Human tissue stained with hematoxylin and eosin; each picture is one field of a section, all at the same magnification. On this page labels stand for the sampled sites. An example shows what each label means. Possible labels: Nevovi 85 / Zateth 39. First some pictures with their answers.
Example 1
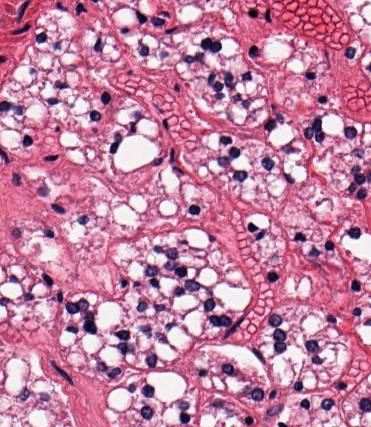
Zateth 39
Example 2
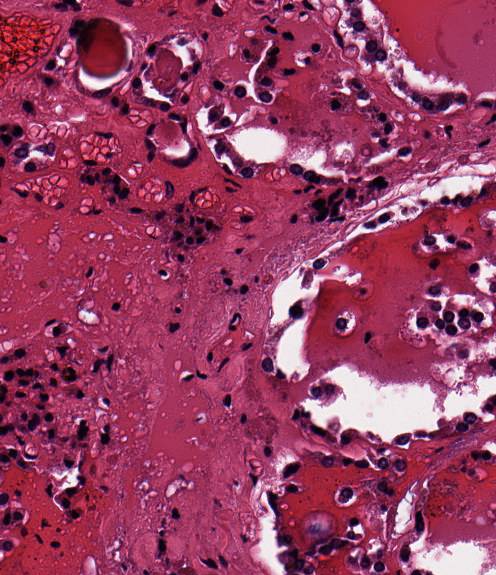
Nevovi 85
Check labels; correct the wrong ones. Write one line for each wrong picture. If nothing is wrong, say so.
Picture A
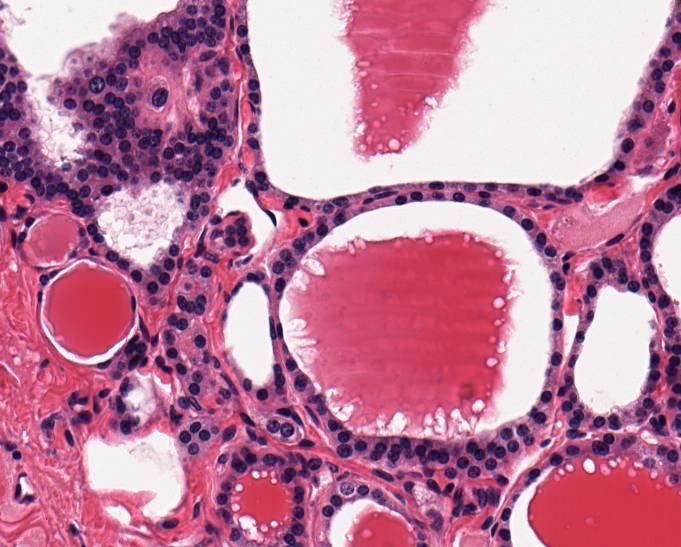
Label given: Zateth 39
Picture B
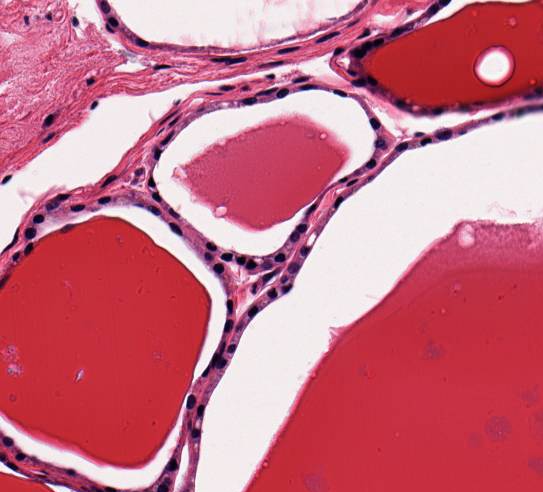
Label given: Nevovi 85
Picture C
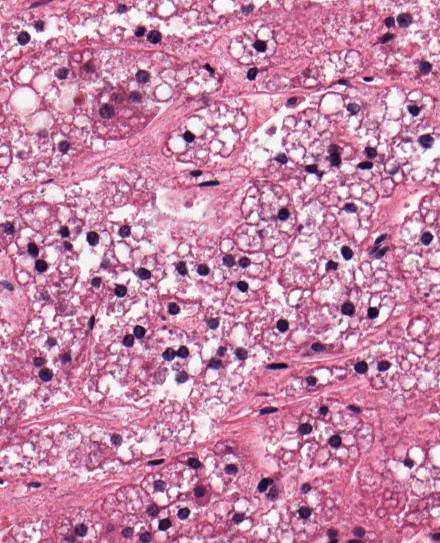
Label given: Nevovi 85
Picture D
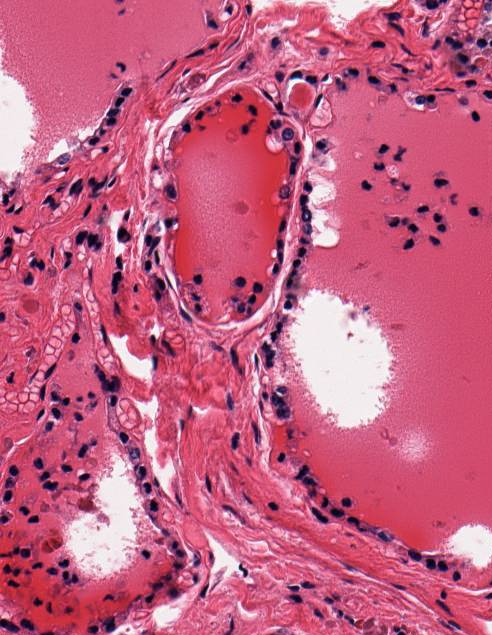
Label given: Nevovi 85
A: not Zateth 39 but Nevovi 85
C: not Nevovi 85 but Zateth 39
